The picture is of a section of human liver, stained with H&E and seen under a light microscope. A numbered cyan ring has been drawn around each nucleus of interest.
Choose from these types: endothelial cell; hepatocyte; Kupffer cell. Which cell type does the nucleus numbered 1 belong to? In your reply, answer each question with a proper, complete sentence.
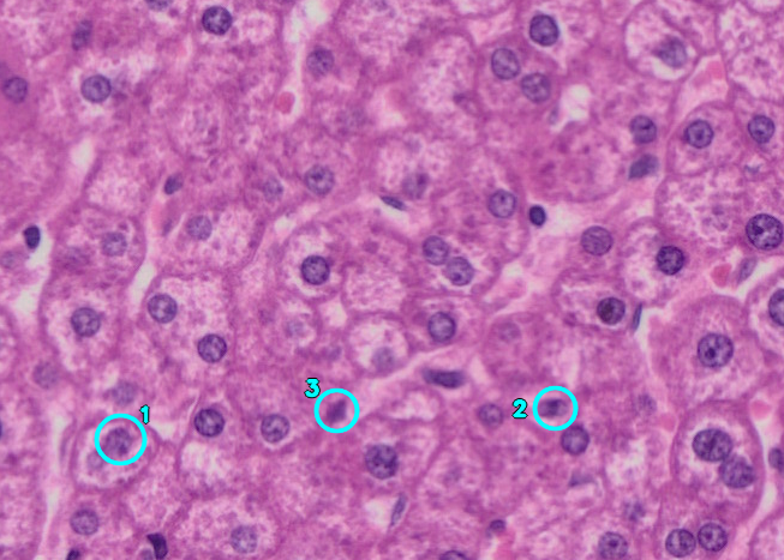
Among the marked cells, number 1 is a hepatocyte.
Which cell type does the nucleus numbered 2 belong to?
The one numbered 2 among the marked cells is a Kupffer cell.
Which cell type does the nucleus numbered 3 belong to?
Cell 3 of the marked set is an endothelial cell.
